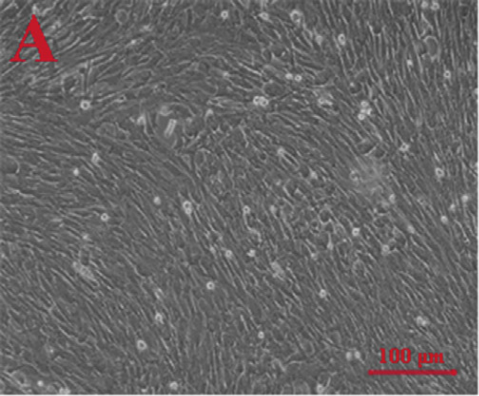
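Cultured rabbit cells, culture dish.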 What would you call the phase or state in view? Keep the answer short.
Fibroblast-like morphology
